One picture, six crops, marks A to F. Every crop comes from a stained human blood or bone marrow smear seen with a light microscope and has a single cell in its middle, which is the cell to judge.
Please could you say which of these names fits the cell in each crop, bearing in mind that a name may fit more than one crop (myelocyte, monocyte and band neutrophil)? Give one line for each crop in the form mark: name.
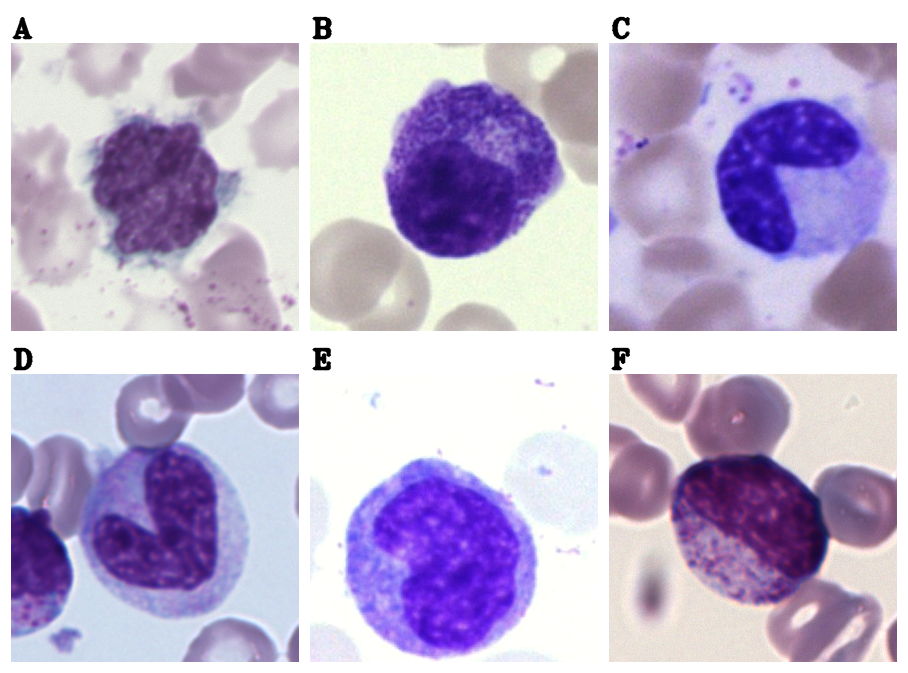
A: monocyte
B: myelocyte
C: band neutrophil
D: band neutrophil
E: monocyte
F: myelocyte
